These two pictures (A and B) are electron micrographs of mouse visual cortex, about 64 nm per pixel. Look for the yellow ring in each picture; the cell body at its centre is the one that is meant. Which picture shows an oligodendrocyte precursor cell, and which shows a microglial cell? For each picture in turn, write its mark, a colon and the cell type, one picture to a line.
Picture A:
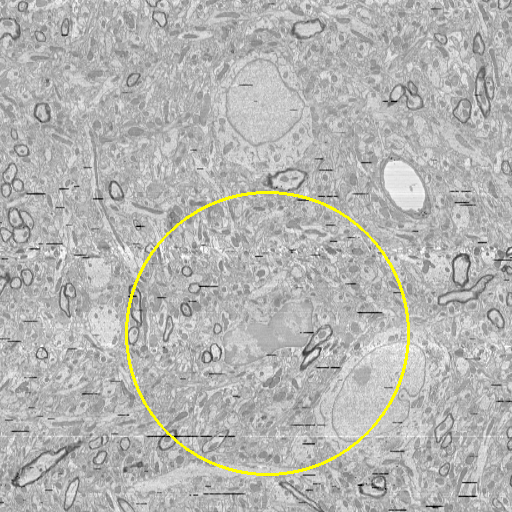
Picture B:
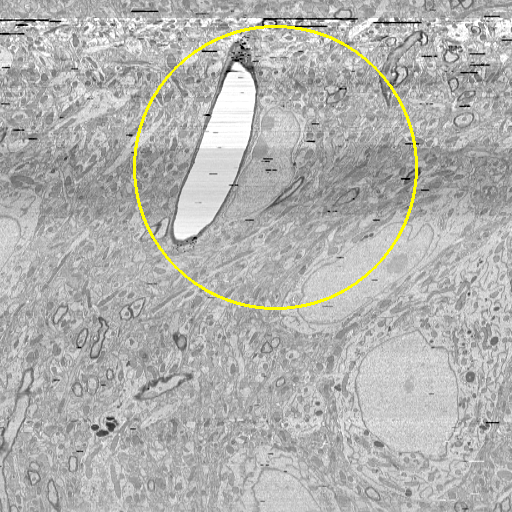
A: microglial cell
B: oligodendrocyte precursor cell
